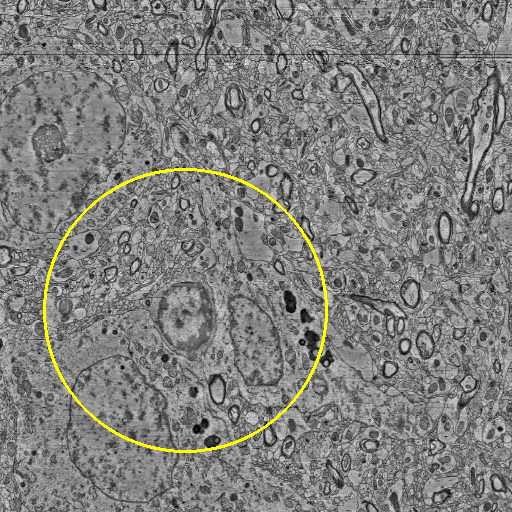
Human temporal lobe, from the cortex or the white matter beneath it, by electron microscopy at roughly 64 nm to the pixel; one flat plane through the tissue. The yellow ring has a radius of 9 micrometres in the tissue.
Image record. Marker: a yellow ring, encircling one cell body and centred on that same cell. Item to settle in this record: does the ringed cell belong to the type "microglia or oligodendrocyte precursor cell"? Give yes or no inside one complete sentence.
No, in the picture, the cell centred within the yellow ring is of a different type.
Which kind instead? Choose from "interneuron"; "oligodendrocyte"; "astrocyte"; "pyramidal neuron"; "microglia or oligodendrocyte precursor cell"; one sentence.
Instead, the cell at the centre of the ring is an oligodendrocyte.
